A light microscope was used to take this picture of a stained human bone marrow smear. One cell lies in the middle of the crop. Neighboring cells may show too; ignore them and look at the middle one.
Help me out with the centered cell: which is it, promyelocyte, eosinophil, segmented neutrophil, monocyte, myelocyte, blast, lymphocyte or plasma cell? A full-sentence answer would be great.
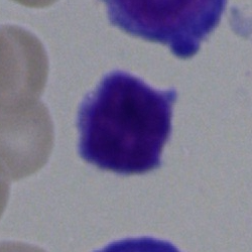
On this slide crop, the central cell is a lymphocyte.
